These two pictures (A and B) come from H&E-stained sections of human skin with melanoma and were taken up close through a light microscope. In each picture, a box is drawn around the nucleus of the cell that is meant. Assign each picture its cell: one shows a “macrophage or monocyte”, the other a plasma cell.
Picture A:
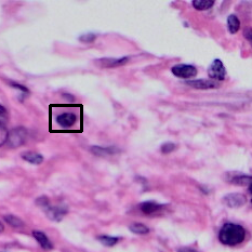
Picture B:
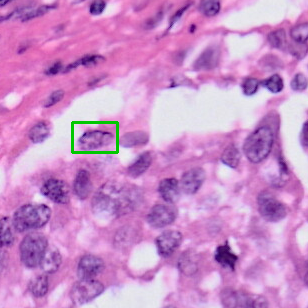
A: plasma cell
B: macrophage or monocyte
